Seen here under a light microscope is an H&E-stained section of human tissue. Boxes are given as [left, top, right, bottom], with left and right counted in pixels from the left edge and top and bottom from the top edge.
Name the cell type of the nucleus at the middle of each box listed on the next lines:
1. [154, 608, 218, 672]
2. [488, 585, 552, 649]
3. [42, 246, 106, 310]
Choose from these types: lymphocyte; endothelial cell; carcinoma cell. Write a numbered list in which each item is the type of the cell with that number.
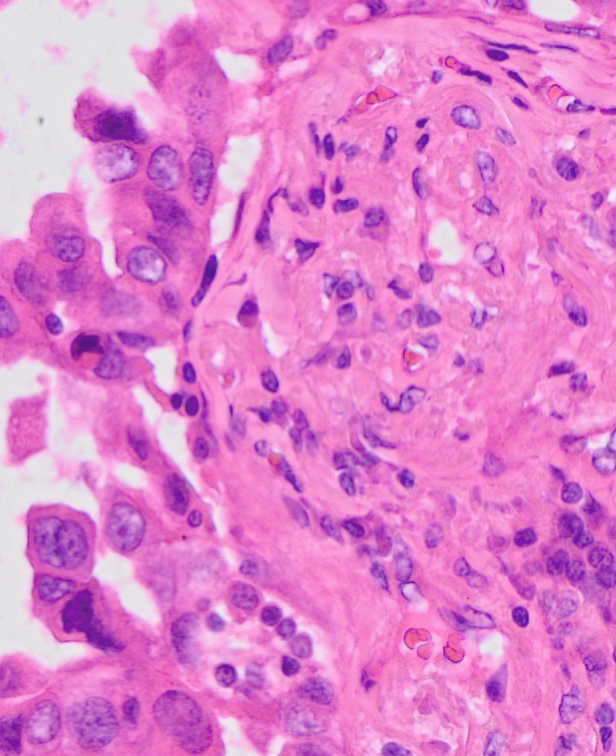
1. carcinoma cell
2. lymphocyte
3. carcinoma cell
